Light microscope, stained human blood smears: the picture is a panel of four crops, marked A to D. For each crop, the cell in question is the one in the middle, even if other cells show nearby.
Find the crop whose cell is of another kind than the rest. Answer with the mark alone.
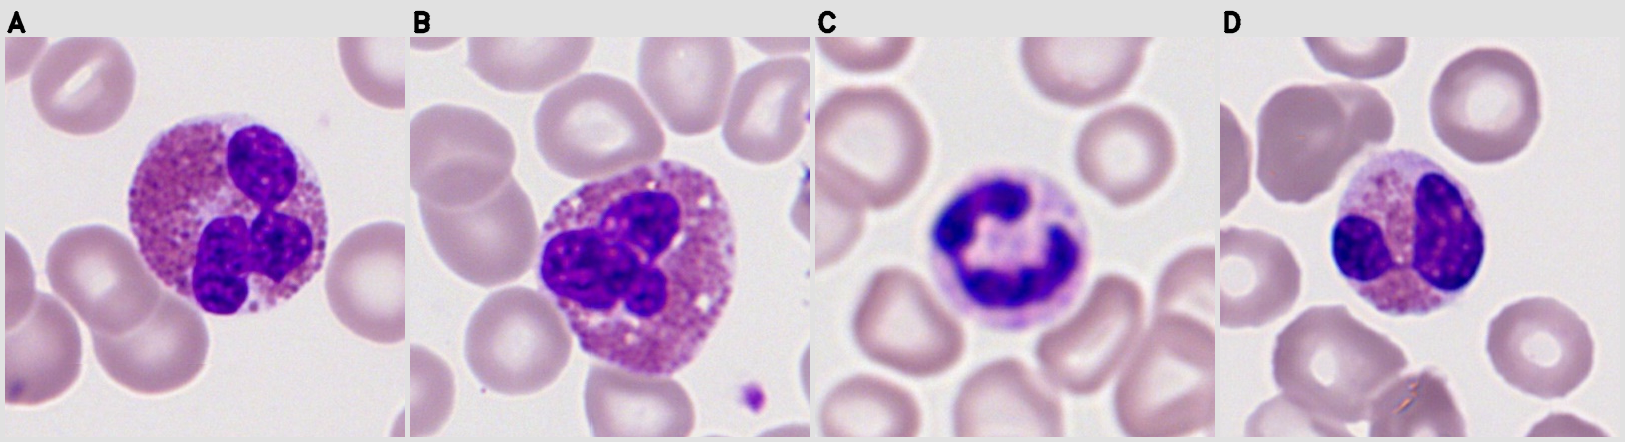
C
